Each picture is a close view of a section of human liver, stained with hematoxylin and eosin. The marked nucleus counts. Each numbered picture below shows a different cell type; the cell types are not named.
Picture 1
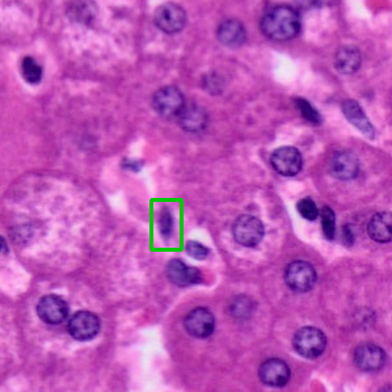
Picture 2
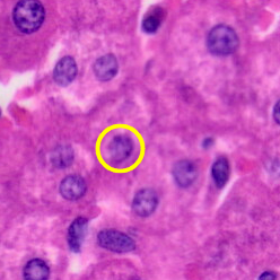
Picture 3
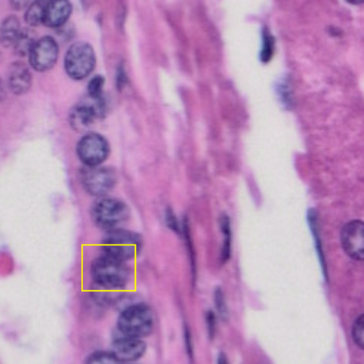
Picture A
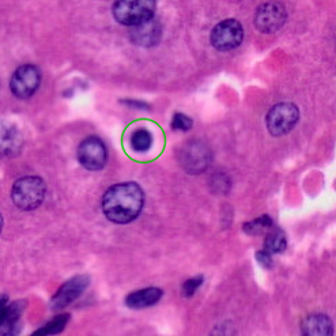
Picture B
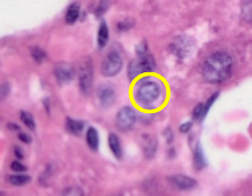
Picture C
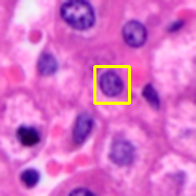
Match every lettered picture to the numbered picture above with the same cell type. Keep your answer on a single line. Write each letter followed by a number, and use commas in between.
A 1, B 3, C 2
